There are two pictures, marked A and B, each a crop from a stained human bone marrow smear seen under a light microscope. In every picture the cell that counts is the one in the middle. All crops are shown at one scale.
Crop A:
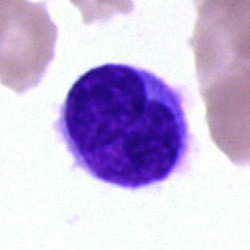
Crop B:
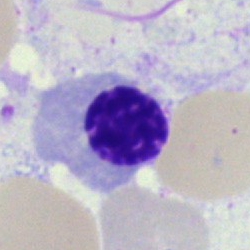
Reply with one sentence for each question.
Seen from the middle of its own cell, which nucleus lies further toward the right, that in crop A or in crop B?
In crop B the nucleus is shifted more toward the right.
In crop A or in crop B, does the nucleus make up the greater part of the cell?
Of the two, the nucleus in crop A makes up the greater part of its cell.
